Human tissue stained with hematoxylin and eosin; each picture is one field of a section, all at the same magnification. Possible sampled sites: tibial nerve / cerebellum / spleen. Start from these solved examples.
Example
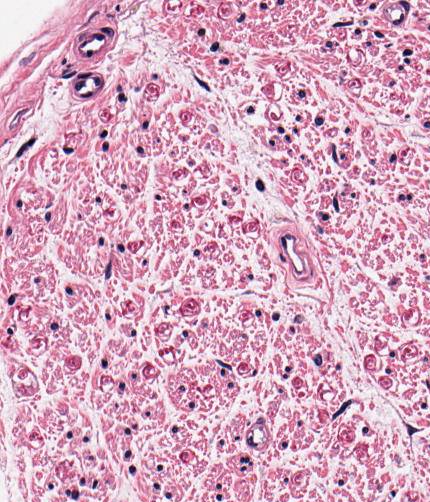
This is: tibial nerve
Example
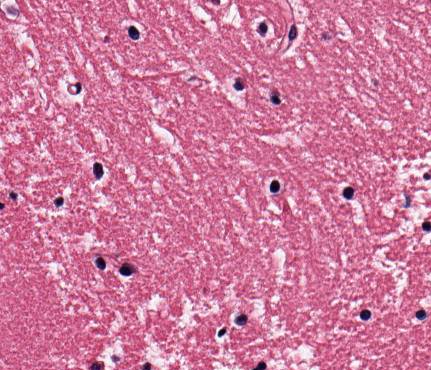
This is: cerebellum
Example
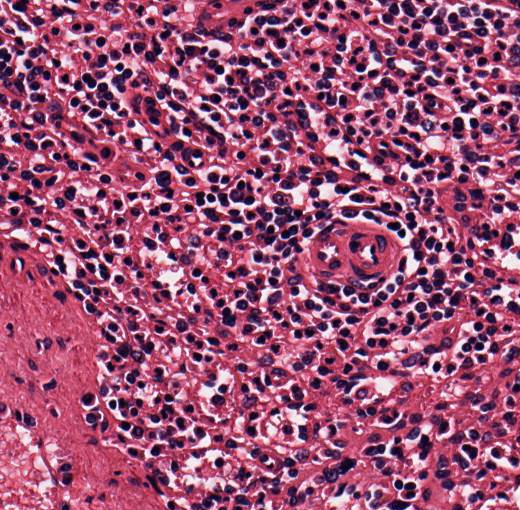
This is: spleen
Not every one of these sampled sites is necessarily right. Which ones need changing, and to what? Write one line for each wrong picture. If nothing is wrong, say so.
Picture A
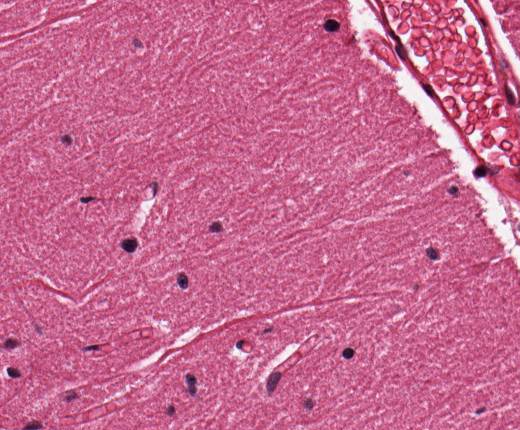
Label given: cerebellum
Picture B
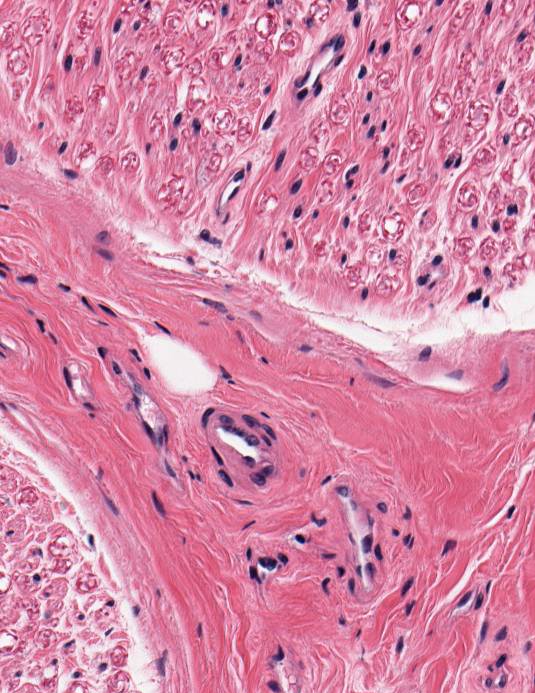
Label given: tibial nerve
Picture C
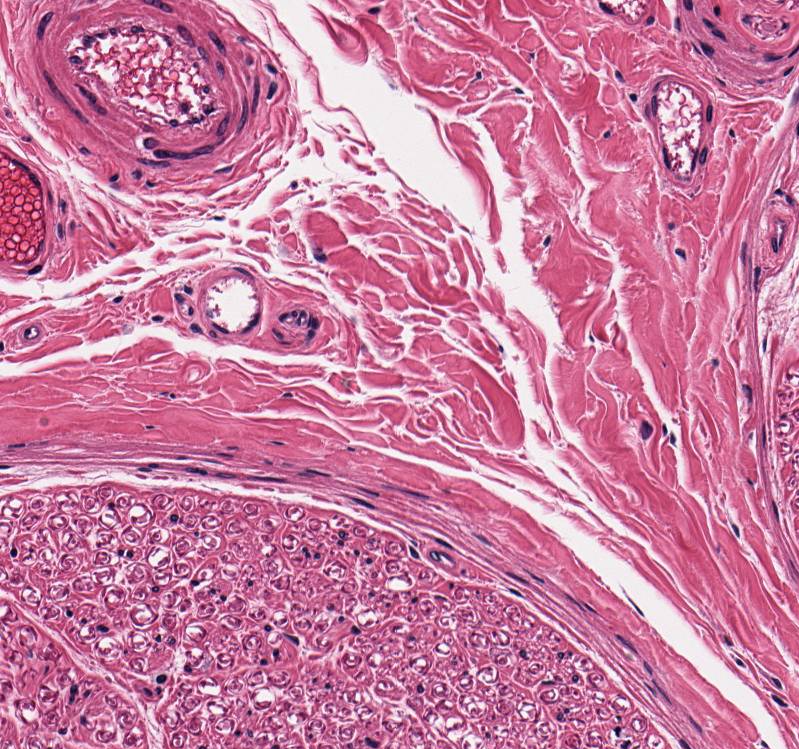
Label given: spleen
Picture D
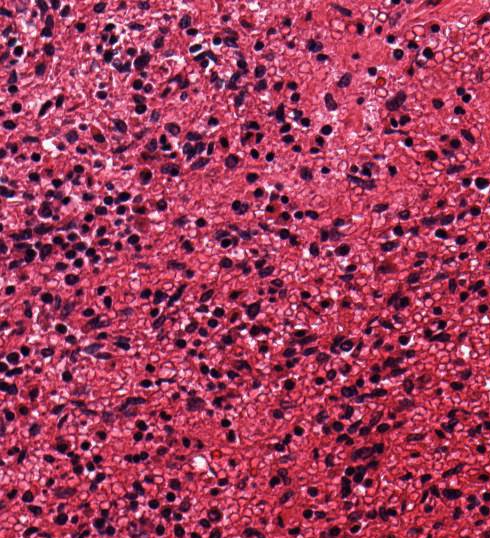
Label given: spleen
C is labelled spleen; correct label: tibial nerve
